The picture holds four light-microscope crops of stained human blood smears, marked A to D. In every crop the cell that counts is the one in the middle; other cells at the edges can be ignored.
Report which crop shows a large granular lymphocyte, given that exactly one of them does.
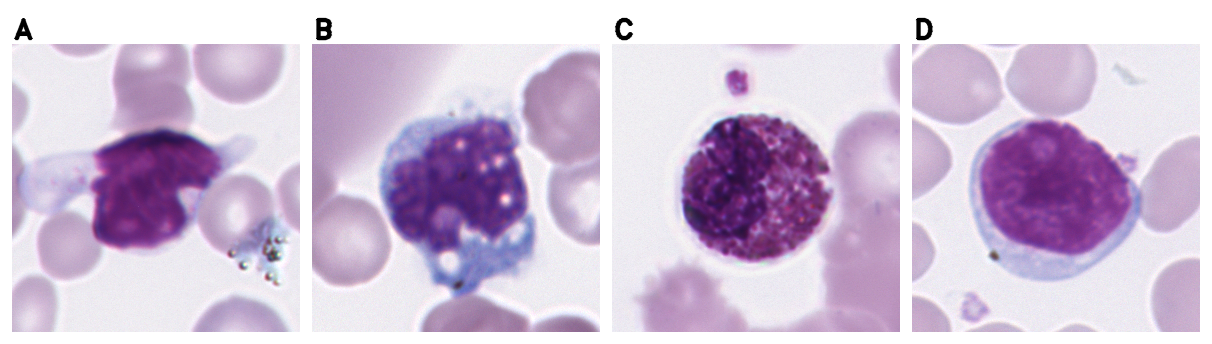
A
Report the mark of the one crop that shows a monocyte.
B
